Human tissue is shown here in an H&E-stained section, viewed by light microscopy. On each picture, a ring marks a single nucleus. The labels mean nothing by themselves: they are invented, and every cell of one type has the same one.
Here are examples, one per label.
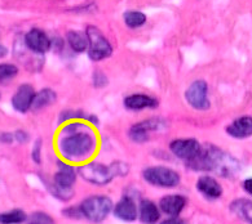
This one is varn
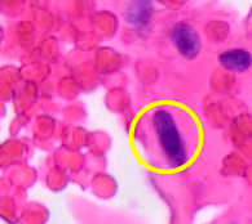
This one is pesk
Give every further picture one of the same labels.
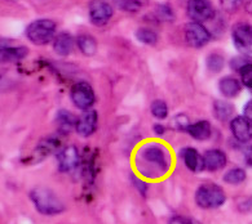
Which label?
varn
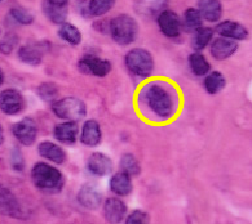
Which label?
varn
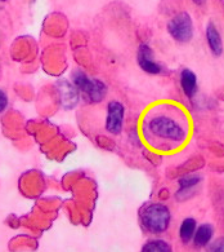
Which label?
pesk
